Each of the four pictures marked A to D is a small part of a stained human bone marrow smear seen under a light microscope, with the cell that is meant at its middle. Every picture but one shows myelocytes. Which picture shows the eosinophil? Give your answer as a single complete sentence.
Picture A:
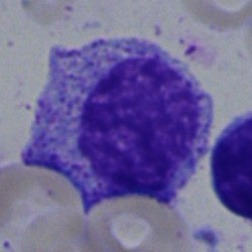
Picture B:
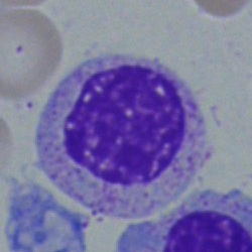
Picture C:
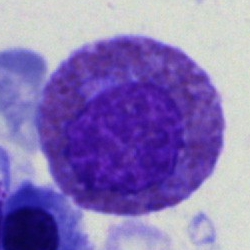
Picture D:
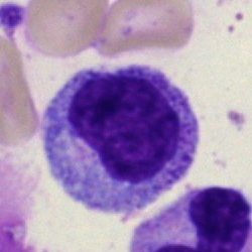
The picture with the eosinophil is C.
